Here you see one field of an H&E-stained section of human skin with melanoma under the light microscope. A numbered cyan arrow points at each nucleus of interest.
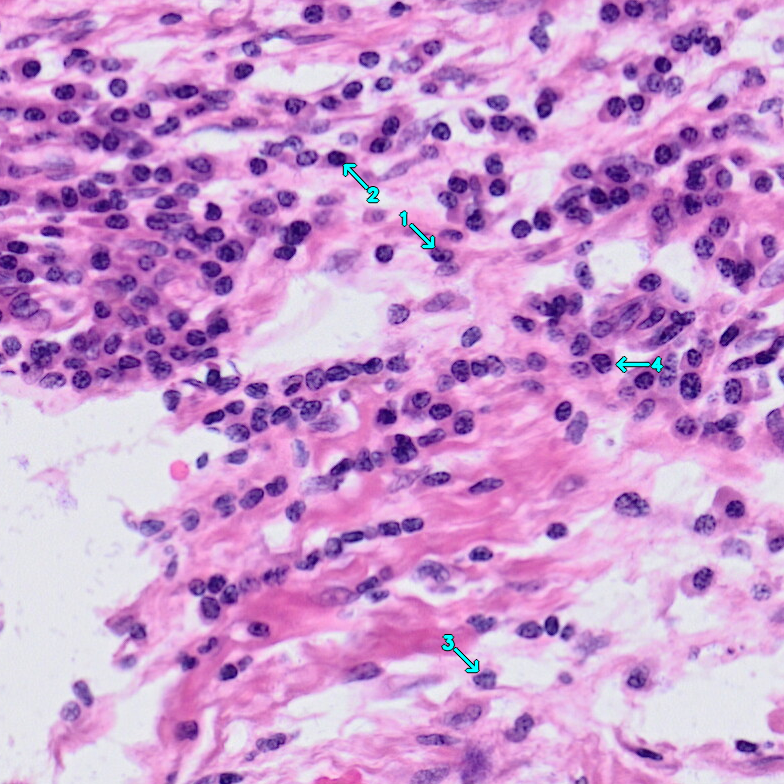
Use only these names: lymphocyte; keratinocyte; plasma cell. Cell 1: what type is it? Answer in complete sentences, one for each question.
The correct answer for cell 1 is a plasma cell.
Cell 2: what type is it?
The nucleus marked 2 is the nucleus of a plasma cell.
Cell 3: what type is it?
Cell number 3 in this section is a lymphocyte.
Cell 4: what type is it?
Number 4 is placed on a plasma cell here.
